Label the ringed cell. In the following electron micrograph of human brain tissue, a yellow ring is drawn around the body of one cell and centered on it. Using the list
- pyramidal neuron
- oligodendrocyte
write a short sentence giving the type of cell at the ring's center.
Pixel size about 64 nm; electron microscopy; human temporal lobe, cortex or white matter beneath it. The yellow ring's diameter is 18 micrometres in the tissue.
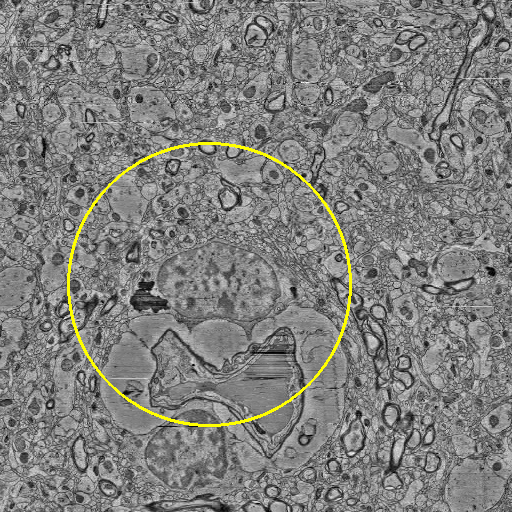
The cell body at the ring's center is that of an oligodendrocyte.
